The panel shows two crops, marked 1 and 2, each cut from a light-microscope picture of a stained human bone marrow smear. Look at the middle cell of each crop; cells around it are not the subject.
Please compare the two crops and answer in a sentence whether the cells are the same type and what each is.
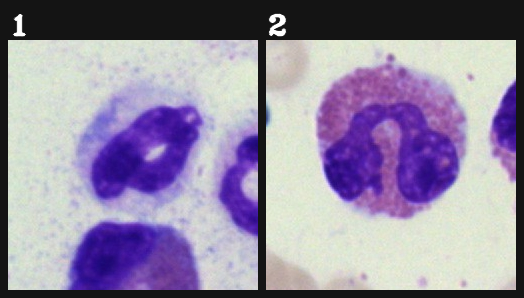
No, crop 1 shows a segmented neutrophil, with an eosinophil shown in crop 2.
